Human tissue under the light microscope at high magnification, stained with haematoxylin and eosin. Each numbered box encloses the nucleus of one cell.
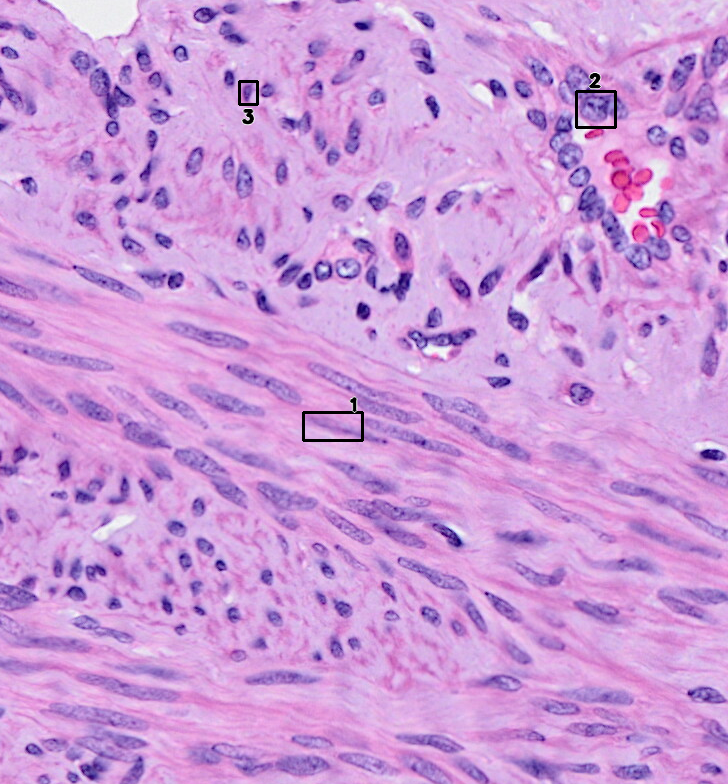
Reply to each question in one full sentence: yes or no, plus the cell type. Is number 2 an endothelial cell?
Yes, within this section, cell number 2 is an endothelial cell.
